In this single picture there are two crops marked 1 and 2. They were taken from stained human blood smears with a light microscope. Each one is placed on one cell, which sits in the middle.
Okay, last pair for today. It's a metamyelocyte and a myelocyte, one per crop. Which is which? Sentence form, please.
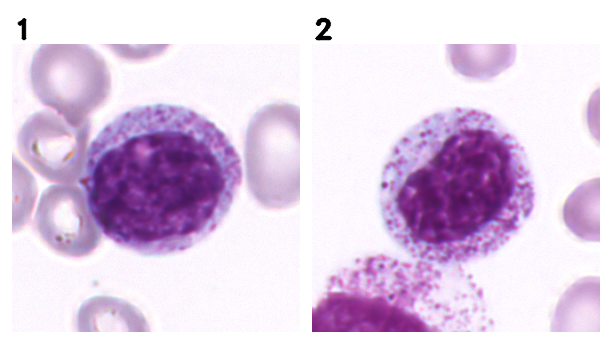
In crop 2 the central cell is a metamyelocyte, and in crop 1 it is a myelocyte.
